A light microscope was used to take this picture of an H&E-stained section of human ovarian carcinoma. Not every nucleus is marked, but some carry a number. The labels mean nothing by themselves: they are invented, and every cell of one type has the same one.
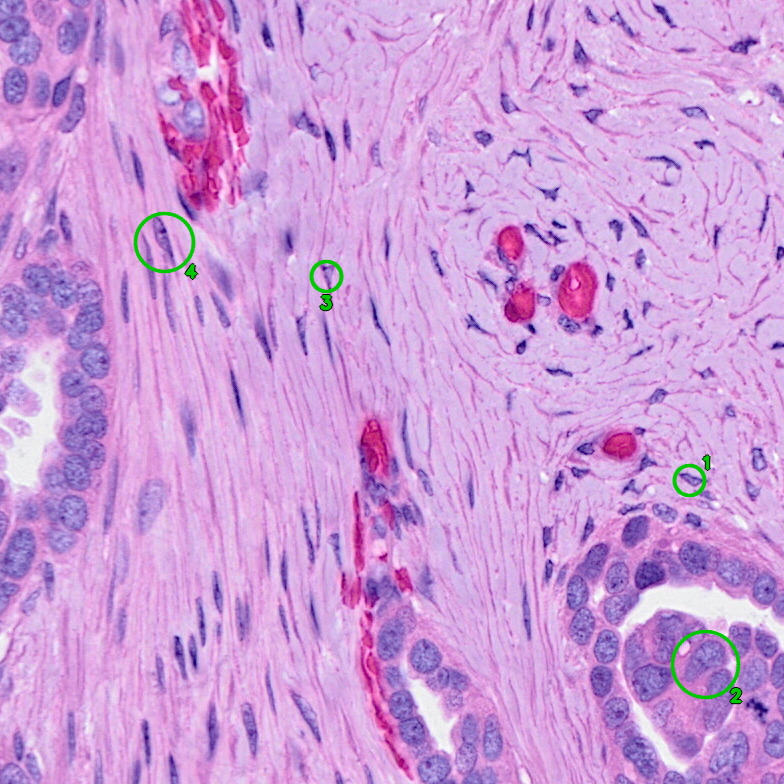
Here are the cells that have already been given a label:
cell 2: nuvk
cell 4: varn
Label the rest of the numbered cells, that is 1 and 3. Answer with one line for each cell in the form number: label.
1: varn
3: varn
